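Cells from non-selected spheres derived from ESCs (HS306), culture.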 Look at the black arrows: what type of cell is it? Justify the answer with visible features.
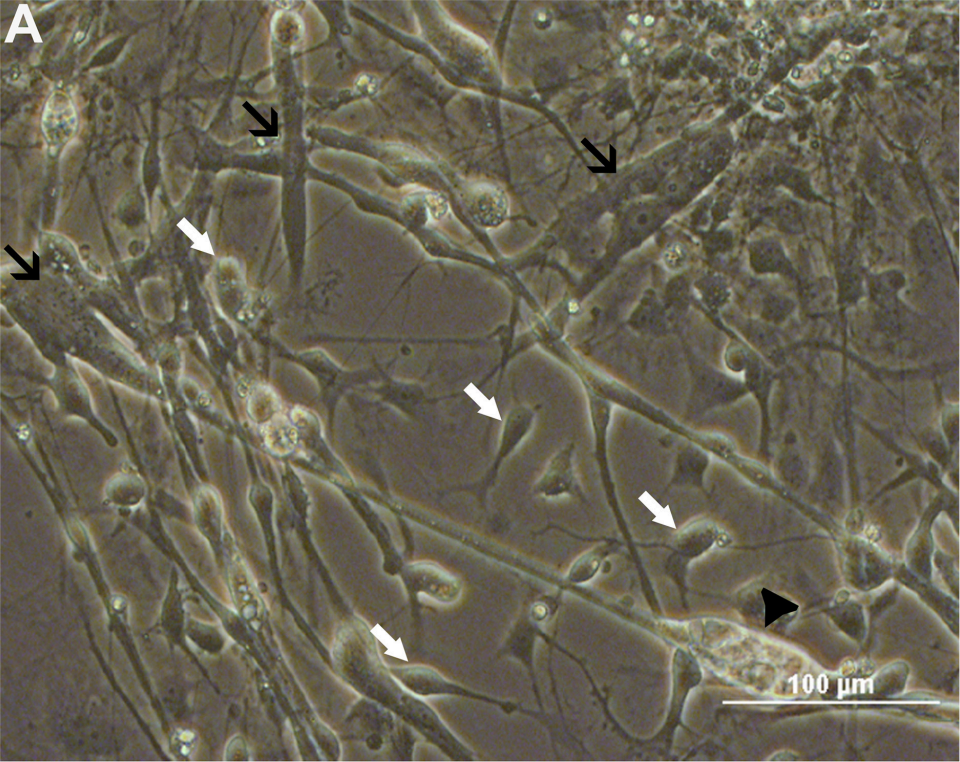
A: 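The arrows point to long, thick, tube-like cells that run across much of the field. These cells are much larger than the small round-bodied cells around them.
Conclusion: myotubes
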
